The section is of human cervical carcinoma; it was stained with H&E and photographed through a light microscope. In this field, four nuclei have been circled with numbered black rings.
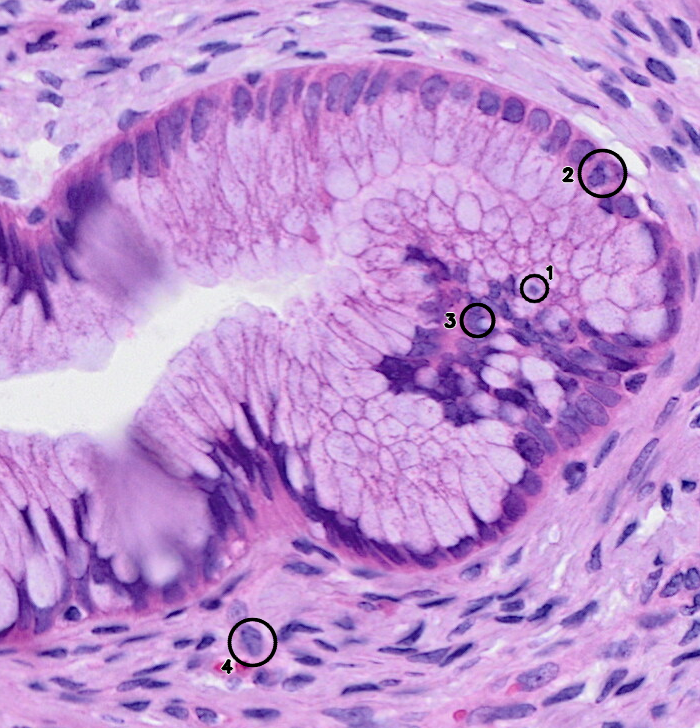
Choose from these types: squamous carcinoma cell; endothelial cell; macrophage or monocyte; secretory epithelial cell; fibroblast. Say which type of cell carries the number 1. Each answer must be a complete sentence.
The cell tagged with 1 in this tissue section is a secretory epithelial cell.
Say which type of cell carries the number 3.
The cell pointed out by number 3 is a secretory epithelial cell.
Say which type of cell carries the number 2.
Cell number 2 in this section is a secretory epithelial cell.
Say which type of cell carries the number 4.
The cell indicated by marker 4 is an endothelial cell in this section.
